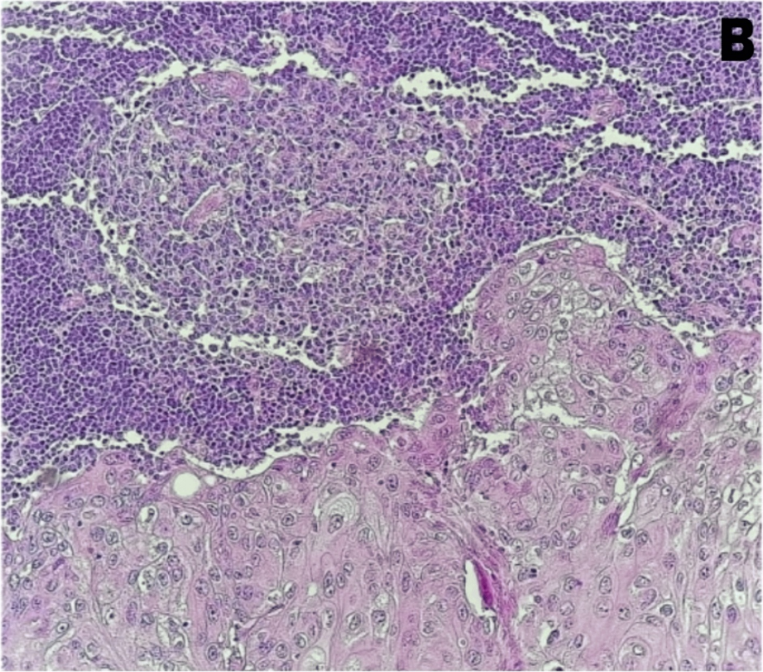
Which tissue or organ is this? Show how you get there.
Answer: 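The upper part is filled by sheets of small, densely packed cells with dark round nuclei and scant cytoplasm. That points to this answer: Lymphoid parenchyma.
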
